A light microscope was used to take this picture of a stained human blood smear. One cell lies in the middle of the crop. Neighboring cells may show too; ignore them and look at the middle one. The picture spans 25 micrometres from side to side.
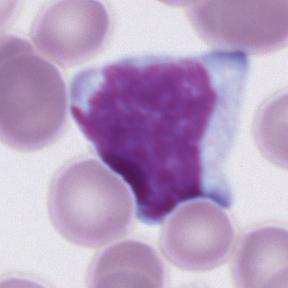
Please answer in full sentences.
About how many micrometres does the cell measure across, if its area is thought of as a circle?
The diameter of the cell comes to about 15 micrometres.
